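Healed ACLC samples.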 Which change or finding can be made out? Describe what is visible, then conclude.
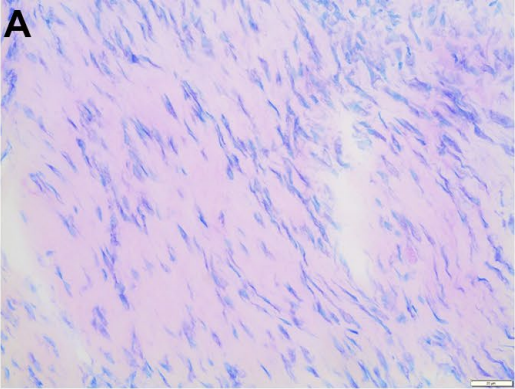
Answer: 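Elongated, spindle-shaped blue nuclei lie mostly parallel to one another. The nuclei run in one common direction across the pink matrix. So: alignments of cell nuclei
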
